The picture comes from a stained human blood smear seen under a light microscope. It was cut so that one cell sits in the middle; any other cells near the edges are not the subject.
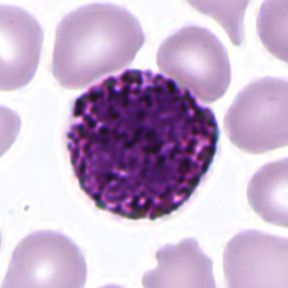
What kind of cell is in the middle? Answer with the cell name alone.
basophil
